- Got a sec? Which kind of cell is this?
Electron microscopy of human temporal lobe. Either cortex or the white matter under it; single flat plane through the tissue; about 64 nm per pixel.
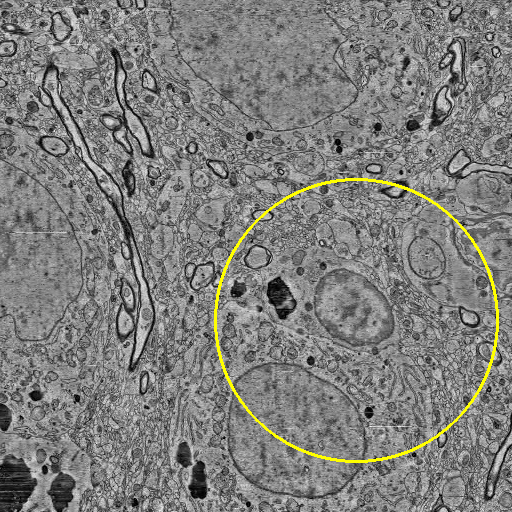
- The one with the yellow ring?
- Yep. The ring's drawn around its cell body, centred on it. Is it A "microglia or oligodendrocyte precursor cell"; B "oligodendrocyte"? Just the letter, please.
B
